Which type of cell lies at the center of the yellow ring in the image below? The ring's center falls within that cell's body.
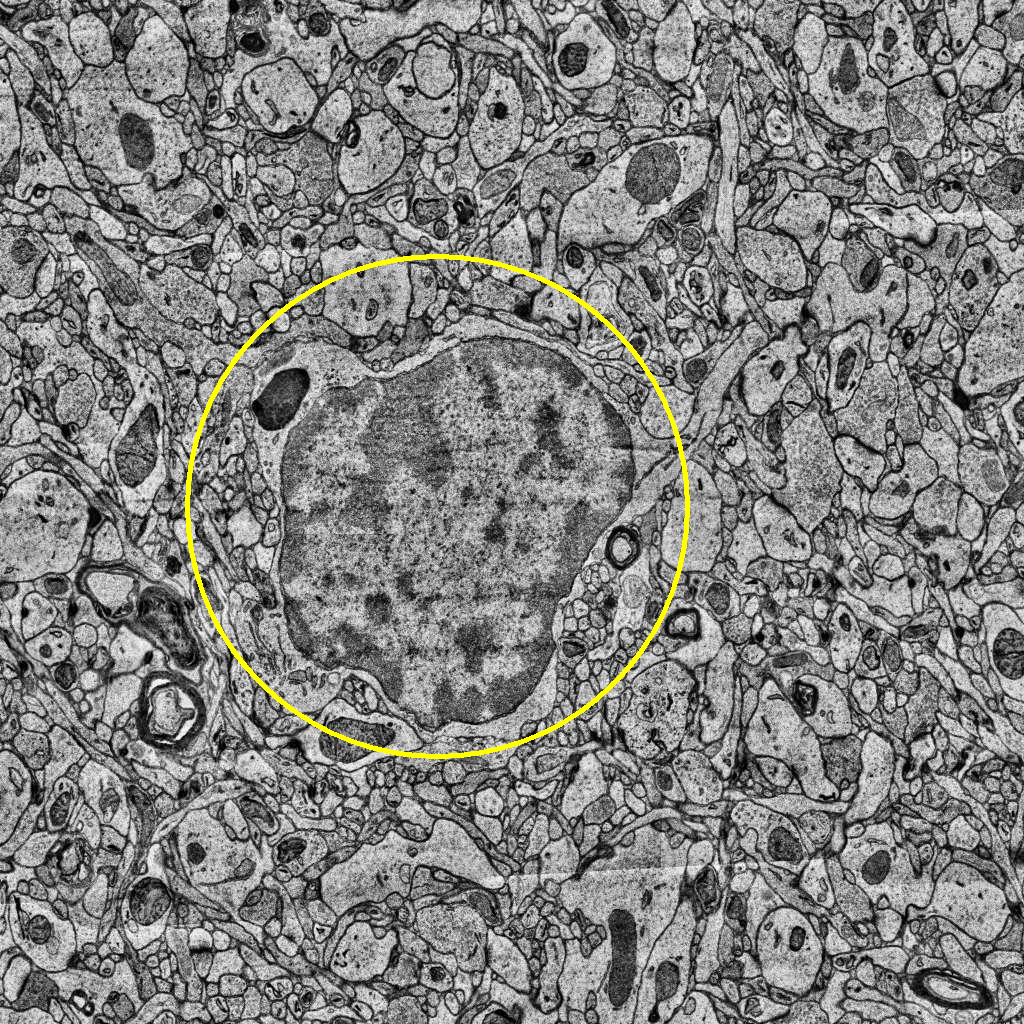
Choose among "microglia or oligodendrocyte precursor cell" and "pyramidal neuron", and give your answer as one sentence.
The cell body at the center belongs to a microglial cell or oligodendrocyte precursor cell.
